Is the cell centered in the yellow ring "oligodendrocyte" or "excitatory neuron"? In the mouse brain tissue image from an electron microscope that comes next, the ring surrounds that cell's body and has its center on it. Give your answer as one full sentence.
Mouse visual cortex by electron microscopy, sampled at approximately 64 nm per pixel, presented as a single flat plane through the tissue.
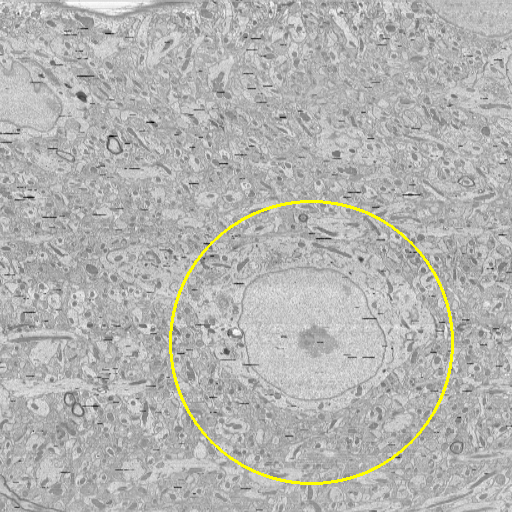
The cell at the center of the yellow ring is an excitatory neuron in the micrograph.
